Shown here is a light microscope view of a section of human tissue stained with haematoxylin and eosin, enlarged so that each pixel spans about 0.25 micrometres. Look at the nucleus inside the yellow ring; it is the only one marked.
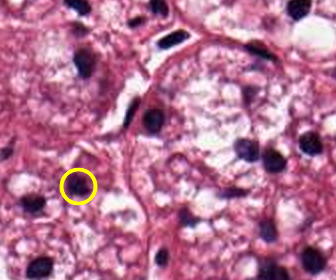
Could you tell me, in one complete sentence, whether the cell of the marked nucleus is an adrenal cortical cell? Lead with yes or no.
Yes, the marked nucleus belongs, in this section, to an adrenal cortical cell.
